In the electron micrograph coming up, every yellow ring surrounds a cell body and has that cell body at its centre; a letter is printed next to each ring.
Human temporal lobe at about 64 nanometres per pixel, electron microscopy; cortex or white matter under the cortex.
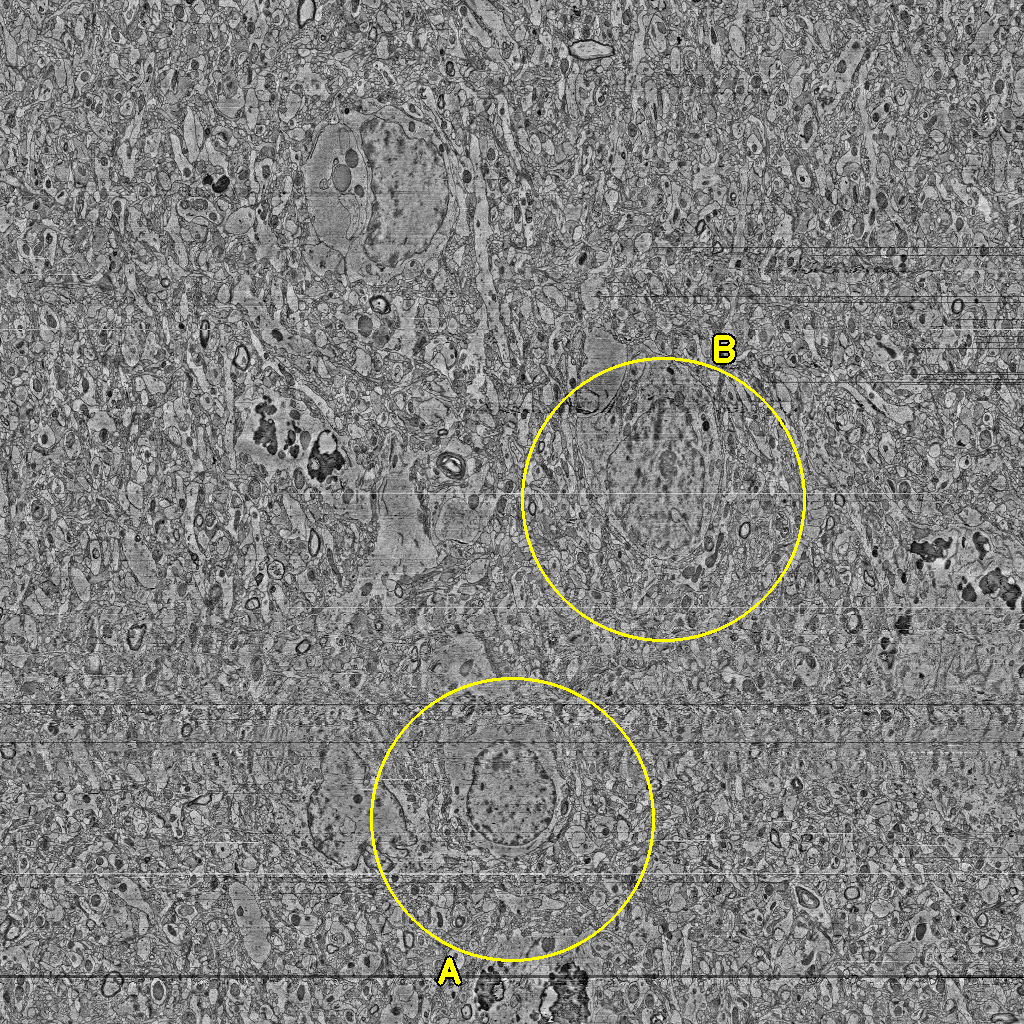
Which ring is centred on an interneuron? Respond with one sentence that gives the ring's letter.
Ring B is the one whose centre sits on the cell asked for in the picture.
